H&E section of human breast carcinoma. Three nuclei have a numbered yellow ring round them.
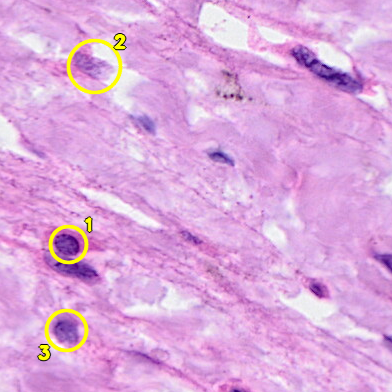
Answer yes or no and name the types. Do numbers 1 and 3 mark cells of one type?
No, cell number 1 is a mast cell, and cell number 3 is a macrophage, monocyte or dendritic cell.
